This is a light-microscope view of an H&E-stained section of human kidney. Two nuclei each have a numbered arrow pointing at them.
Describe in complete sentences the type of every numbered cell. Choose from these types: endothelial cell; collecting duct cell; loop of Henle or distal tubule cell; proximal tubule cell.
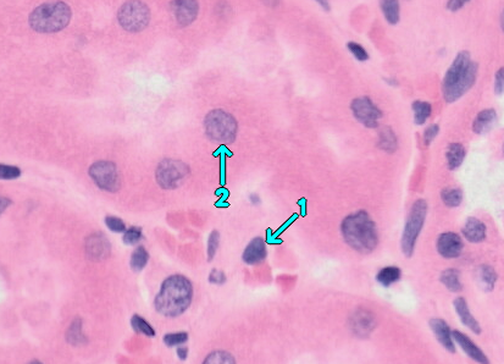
Cell 1 is an endothelial cell and cell 2 is a proximal tubule cell.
